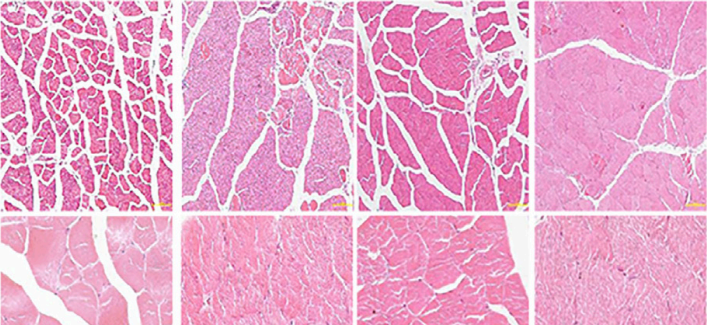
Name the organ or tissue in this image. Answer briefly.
Muscle.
